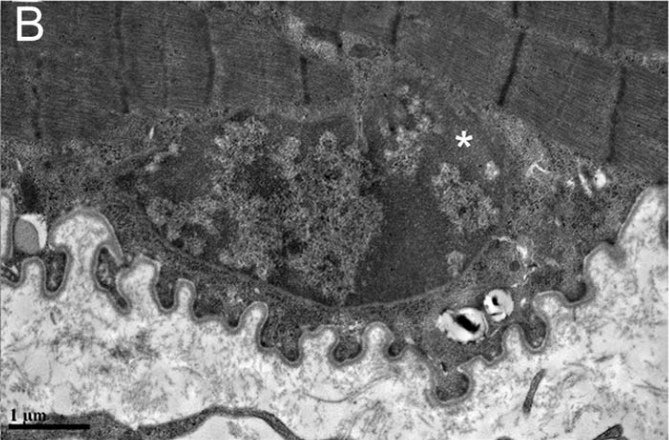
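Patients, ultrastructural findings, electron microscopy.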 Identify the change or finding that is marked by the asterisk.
Naked chromatin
